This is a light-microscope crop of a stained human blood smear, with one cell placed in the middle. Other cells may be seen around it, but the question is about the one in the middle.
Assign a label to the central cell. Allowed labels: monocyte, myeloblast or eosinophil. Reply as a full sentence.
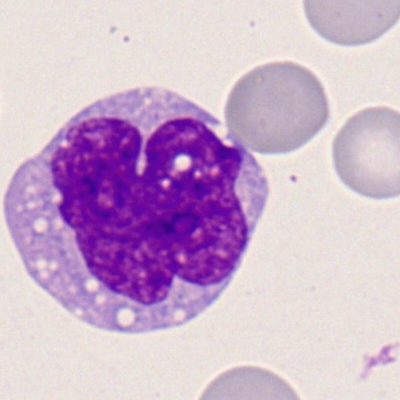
In this crop, the cell at the very middle is a monocyte.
